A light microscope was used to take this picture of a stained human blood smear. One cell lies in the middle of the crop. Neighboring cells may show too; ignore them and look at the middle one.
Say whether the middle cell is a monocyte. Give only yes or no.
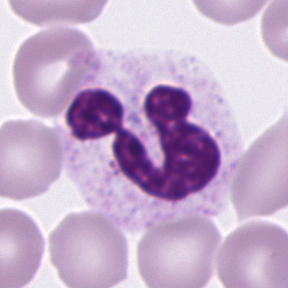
no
